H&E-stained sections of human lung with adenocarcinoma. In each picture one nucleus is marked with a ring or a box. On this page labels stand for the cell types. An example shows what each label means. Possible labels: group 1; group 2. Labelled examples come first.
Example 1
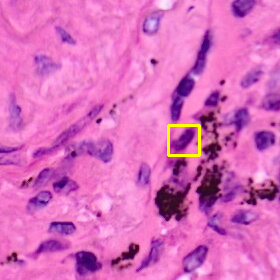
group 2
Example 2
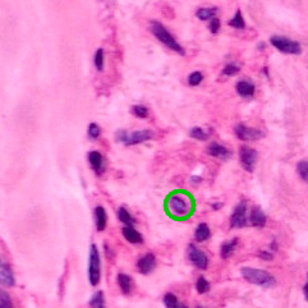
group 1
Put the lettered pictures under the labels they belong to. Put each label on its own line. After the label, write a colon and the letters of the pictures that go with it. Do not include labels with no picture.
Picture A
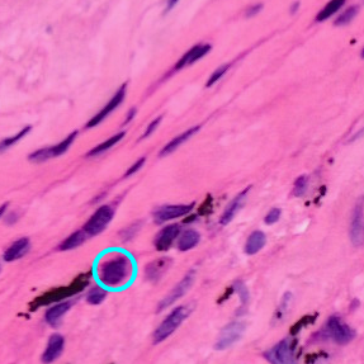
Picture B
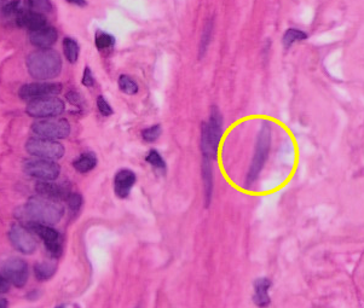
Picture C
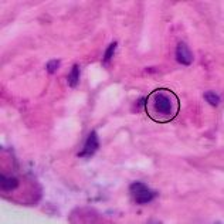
group 1: B, C
group 2: A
